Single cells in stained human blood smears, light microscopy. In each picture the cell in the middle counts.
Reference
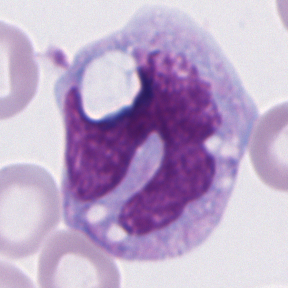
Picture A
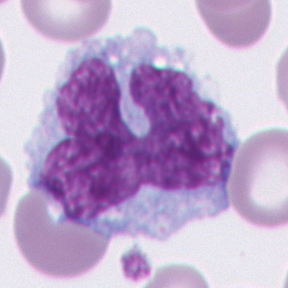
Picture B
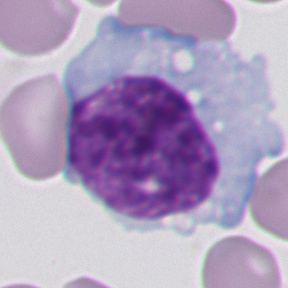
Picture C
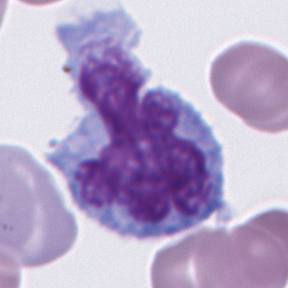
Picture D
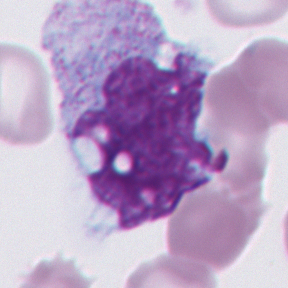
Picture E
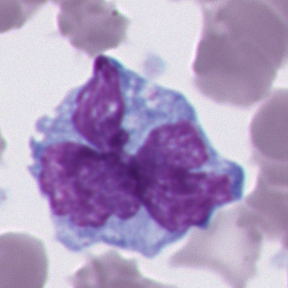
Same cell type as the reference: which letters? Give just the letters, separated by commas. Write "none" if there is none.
A, C, D, E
